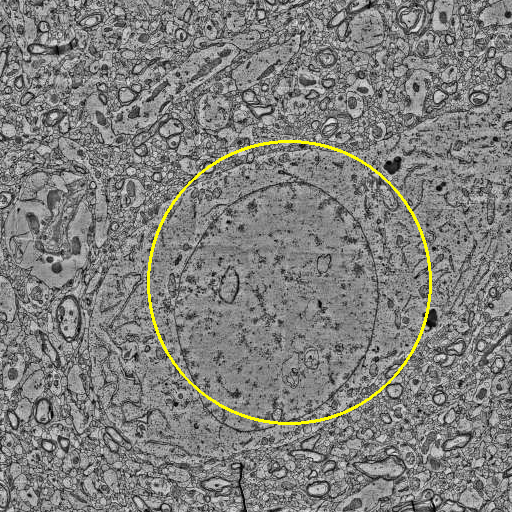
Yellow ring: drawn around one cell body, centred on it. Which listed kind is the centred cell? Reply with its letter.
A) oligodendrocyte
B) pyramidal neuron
B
